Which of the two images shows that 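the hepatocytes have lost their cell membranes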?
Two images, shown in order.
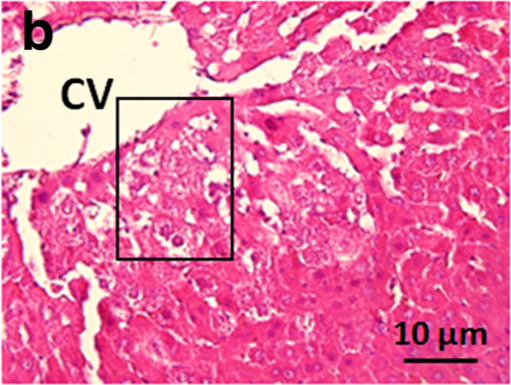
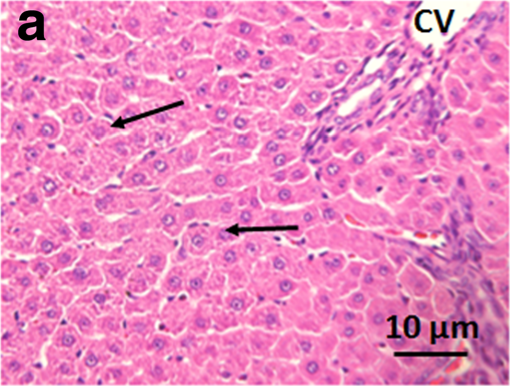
The first image.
